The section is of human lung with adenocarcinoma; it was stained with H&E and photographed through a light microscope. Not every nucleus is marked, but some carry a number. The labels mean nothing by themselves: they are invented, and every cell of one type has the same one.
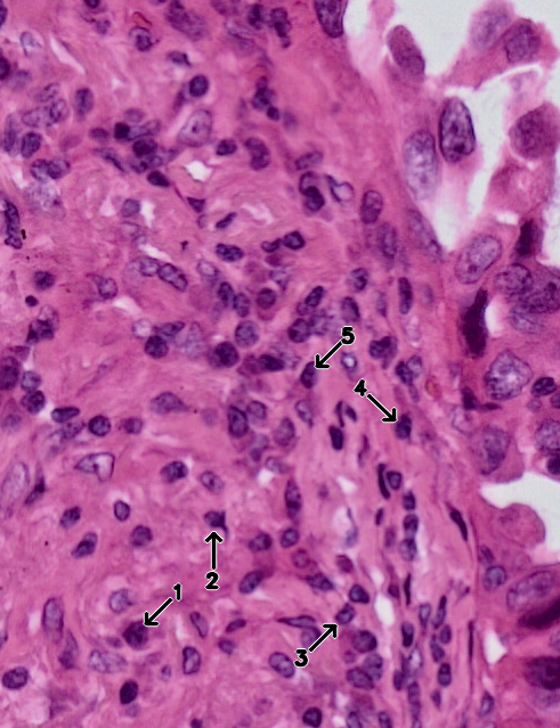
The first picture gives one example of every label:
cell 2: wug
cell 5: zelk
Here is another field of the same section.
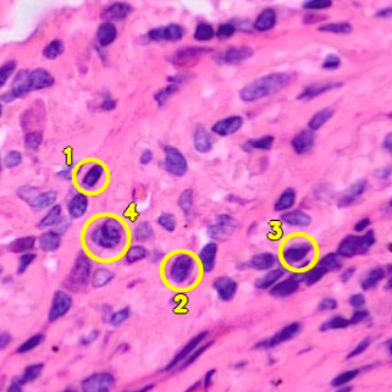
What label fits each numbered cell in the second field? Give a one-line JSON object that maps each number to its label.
{"1": "wug", "2": "wug", "3": "wug", "4": "zelk"}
